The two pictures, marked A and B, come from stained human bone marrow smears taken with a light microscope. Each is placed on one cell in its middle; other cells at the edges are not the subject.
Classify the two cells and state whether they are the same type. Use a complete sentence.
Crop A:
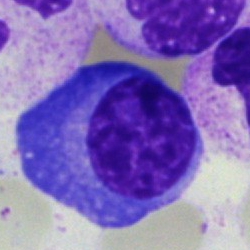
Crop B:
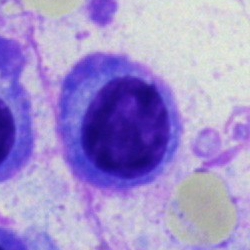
Yes, the cells in both crops are plasma cells.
